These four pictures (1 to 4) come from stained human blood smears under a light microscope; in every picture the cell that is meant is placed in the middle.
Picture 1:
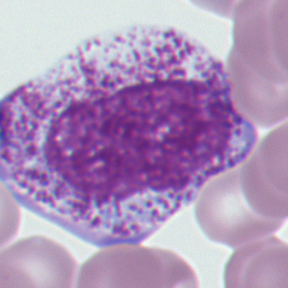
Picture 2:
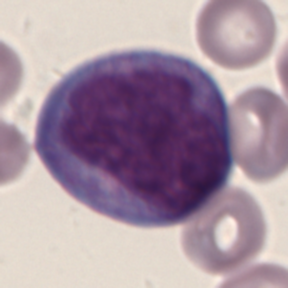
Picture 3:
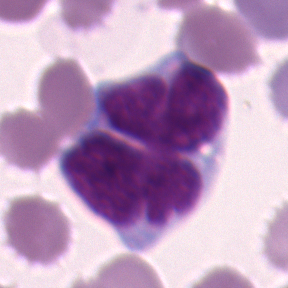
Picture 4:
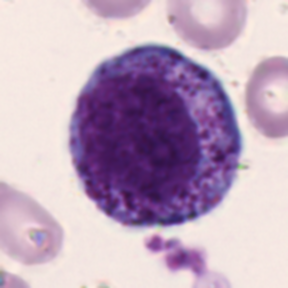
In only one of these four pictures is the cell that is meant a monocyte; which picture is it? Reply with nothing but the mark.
3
